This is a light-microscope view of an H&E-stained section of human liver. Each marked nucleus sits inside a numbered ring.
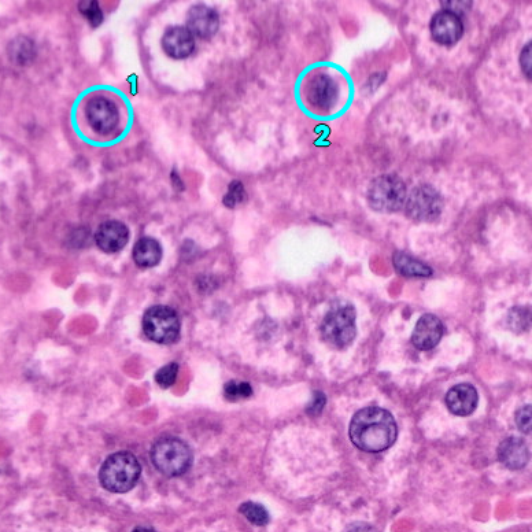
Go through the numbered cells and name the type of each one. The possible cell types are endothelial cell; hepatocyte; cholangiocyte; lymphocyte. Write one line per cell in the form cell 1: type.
cell 1: hepatocyte
cell 2: endothelial cell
